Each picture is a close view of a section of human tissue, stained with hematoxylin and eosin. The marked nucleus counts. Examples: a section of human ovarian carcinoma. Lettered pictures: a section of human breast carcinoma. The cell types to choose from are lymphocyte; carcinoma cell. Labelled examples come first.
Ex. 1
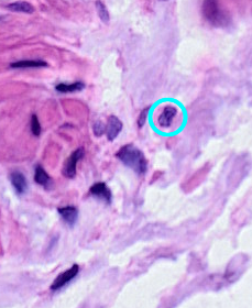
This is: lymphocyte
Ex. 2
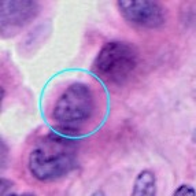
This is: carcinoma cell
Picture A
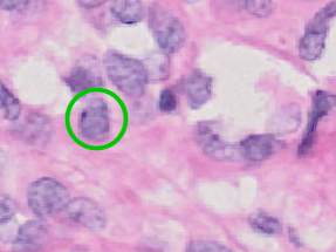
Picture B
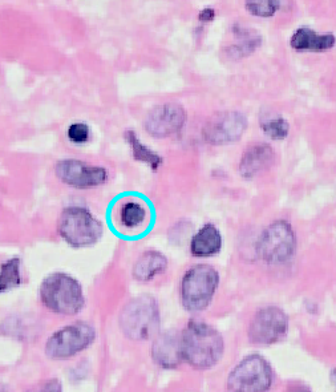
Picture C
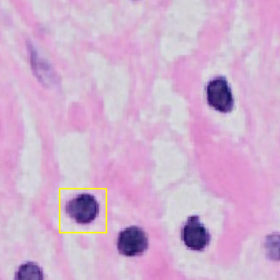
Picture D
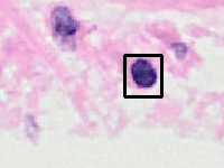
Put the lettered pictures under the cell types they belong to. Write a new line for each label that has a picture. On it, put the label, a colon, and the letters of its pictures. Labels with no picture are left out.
lymphocyte: B, C, D
carcinoma cell: A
